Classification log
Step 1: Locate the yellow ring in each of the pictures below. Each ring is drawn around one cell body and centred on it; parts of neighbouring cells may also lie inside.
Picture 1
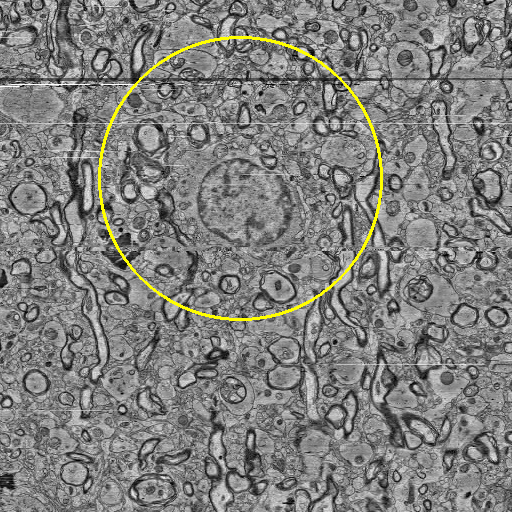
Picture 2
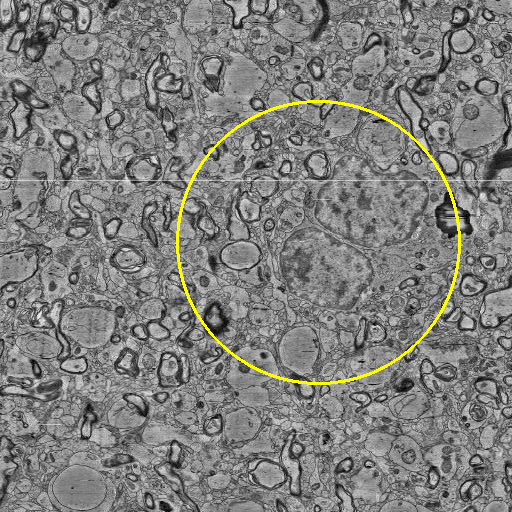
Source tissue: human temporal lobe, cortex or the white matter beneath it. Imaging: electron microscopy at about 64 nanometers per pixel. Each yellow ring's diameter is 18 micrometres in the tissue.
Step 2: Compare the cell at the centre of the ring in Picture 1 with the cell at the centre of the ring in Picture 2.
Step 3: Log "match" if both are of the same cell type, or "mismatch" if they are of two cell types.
match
